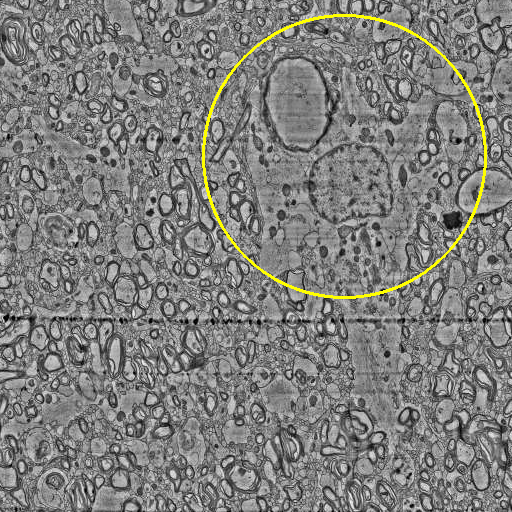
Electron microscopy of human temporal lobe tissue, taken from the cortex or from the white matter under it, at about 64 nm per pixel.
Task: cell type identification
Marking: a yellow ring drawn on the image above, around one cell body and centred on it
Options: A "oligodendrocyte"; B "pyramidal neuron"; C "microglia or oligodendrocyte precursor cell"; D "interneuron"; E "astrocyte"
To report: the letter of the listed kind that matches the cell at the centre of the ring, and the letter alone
E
